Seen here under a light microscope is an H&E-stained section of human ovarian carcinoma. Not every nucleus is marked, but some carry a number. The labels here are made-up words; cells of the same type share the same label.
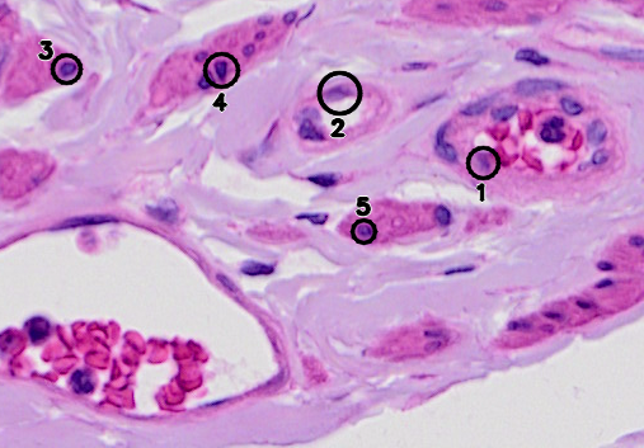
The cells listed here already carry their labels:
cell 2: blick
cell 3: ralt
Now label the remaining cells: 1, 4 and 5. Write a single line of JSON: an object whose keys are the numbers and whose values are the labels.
{"1": "blick", "4": "ralt", "5": "ralt"}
